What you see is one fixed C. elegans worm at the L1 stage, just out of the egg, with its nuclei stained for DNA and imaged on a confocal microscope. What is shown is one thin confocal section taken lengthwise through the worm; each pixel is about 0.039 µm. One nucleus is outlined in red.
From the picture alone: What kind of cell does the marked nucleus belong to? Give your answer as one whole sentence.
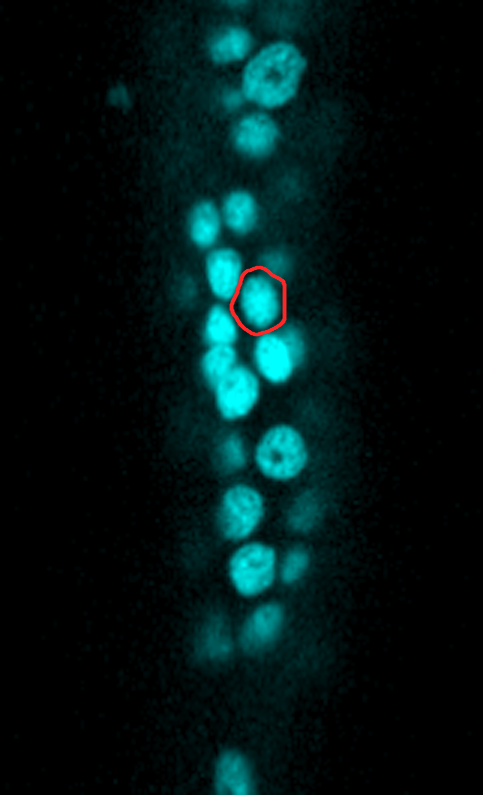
It is the nucleus of a neuron.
